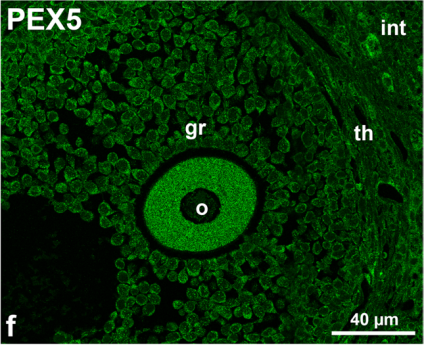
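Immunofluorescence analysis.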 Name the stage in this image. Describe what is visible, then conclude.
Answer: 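A large mass of many granulosa cells surrounds the oocyte. Dark cell-free areas open among the granulosa cells at the lower left. So: tertiary follicles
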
